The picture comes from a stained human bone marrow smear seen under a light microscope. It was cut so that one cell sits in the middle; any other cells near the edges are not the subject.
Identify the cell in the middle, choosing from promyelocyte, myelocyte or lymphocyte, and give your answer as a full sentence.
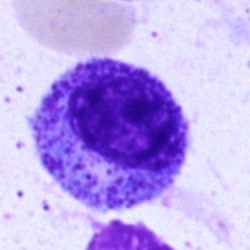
The cell centred in this crop is categorized as a myelocyte.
